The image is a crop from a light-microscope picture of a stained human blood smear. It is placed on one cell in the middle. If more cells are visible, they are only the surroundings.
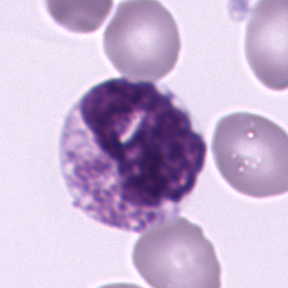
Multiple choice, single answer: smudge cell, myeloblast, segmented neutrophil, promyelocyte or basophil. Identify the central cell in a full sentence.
For this crop, the cell in the middle is a basophil.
